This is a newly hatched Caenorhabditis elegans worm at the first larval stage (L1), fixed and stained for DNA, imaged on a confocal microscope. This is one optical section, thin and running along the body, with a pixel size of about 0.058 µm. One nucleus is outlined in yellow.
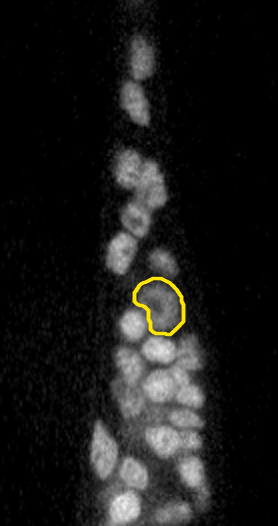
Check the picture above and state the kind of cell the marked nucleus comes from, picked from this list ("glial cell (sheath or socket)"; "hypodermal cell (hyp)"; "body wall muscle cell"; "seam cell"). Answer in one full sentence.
The cell with the marked nucleus is a seam cell.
